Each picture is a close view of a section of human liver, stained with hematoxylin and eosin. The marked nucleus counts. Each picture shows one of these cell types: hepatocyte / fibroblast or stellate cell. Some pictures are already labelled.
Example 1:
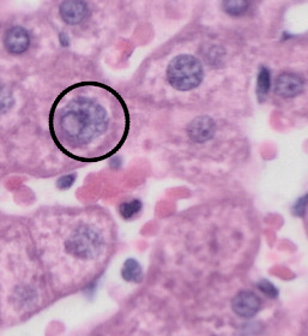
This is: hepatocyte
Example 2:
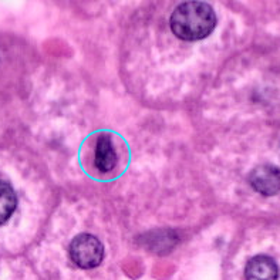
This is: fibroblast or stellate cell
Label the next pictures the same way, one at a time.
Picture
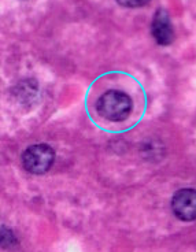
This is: hepatocyte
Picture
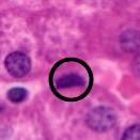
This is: fibroblast or stellate cell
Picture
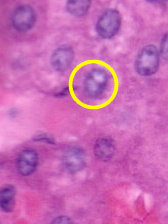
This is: hepatocyte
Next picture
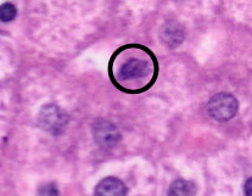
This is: fibroblast or stellate cell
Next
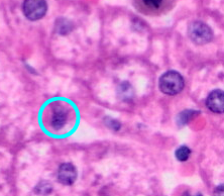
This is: fibroblast or stellate cell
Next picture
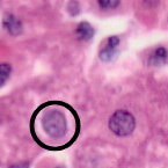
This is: hepatocyte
